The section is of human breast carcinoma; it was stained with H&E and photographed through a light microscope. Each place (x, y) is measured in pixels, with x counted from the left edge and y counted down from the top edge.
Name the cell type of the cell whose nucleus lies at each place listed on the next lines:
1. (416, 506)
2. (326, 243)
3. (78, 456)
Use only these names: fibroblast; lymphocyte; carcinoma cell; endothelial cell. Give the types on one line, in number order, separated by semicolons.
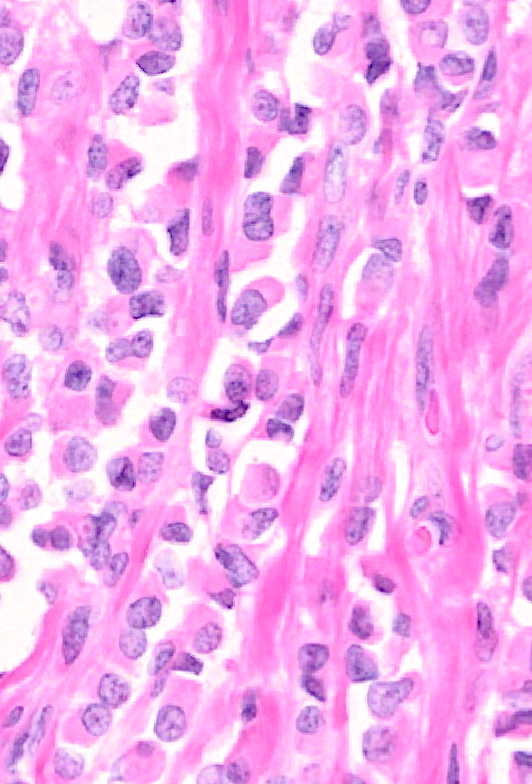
endothelial cell; endothelial cell; carcinoma cell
